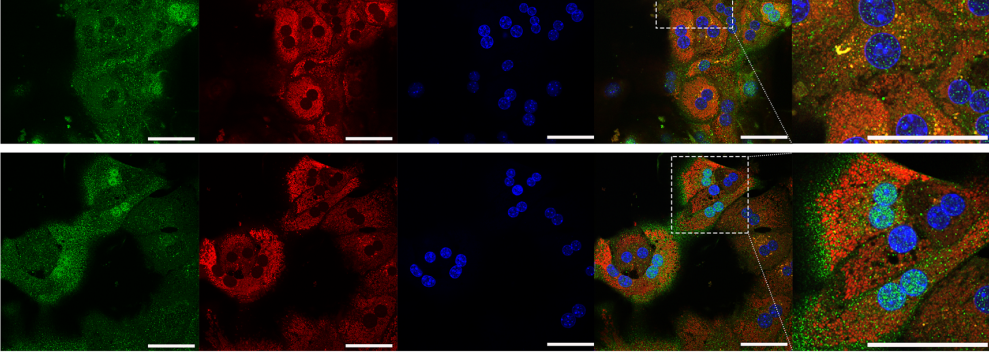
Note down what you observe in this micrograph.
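These are cultured liver cells, large polygonal hepatocytes lying in loose flat groups, each with one or two round central nuclei shown in blue. The enlarged view on the right shows the granular texture of the cytoplasm around the nuclei more clearly.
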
